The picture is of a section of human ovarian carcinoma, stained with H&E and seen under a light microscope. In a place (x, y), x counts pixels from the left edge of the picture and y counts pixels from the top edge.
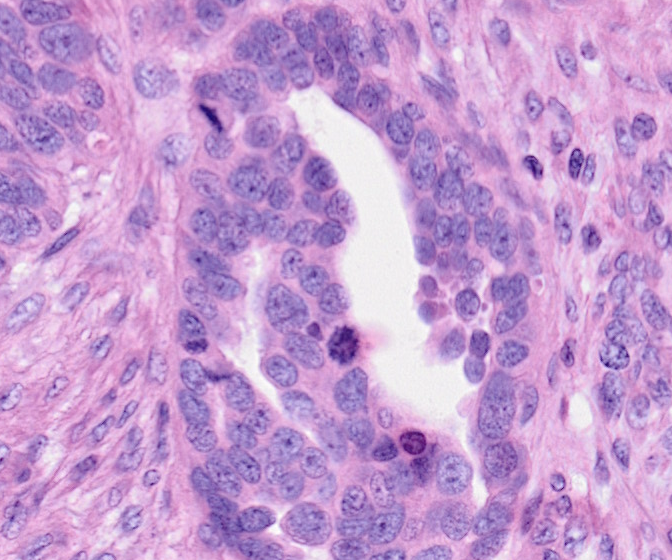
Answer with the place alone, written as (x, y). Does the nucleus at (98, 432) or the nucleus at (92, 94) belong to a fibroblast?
(98, 432)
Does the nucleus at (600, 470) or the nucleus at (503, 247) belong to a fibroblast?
(600, 470)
